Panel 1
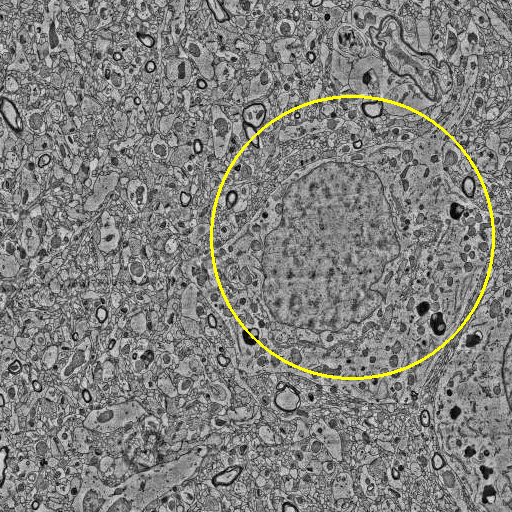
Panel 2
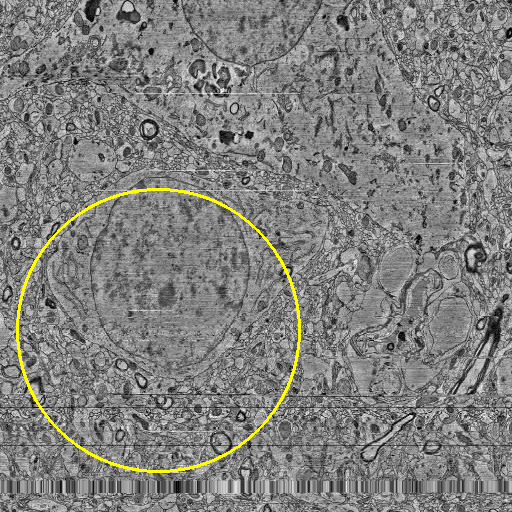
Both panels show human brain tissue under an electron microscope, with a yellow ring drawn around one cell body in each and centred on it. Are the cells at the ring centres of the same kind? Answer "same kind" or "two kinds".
same kind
